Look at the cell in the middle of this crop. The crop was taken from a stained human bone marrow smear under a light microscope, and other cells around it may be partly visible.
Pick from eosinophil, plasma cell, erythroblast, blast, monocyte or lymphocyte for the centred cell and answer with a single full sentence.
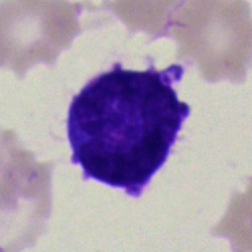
Positioned in the middle of the crop is a blast.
